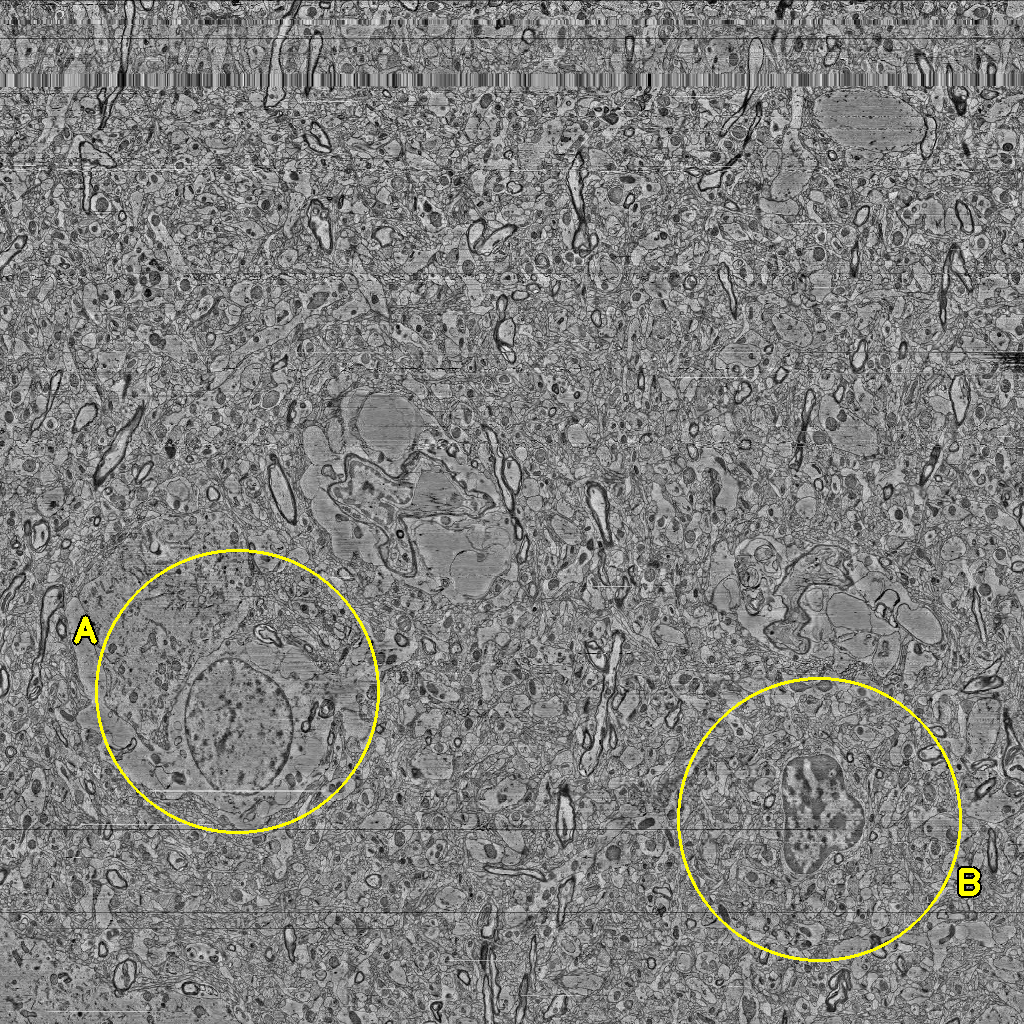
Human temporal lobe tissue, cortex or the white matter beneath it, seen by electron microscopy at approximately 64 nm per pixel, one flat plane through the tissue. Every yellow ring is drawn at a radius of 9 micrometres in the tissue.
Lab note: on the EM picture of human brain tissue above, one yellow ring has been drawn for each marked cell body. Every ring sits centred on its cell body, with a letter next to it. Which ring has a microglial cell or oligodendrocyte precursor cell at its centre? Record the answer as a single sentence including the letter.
Noted: the cell in question is at the centre of ring B.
